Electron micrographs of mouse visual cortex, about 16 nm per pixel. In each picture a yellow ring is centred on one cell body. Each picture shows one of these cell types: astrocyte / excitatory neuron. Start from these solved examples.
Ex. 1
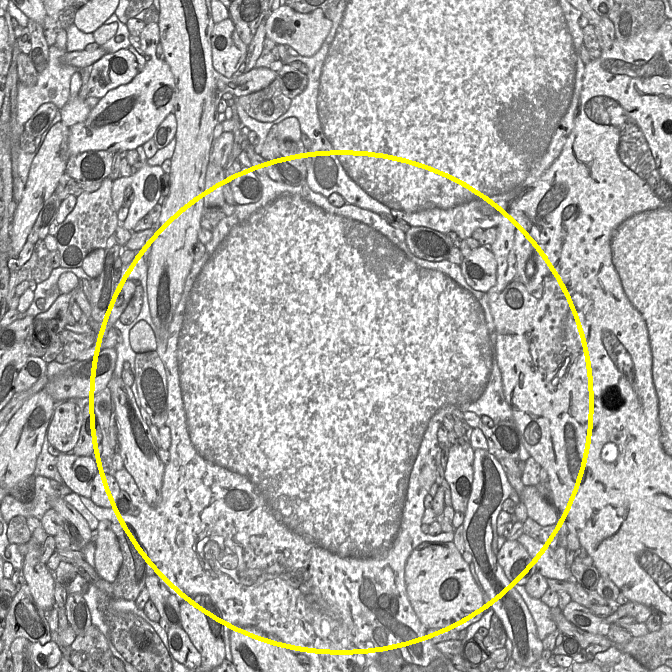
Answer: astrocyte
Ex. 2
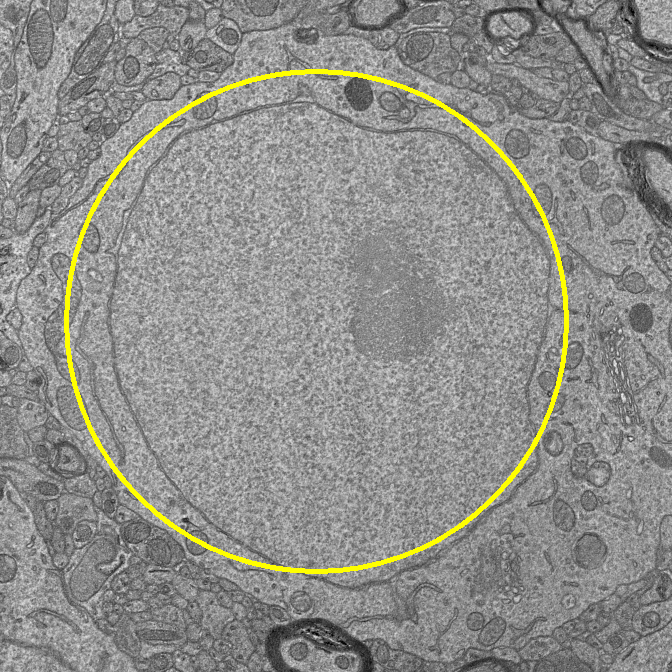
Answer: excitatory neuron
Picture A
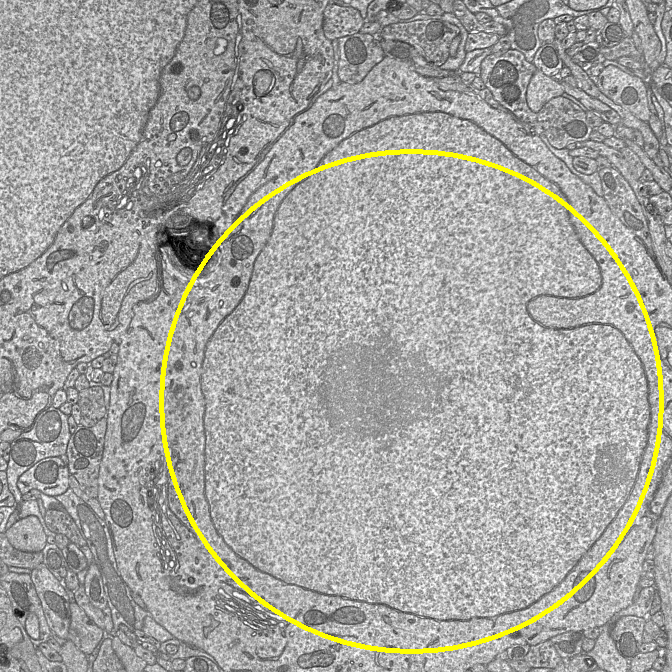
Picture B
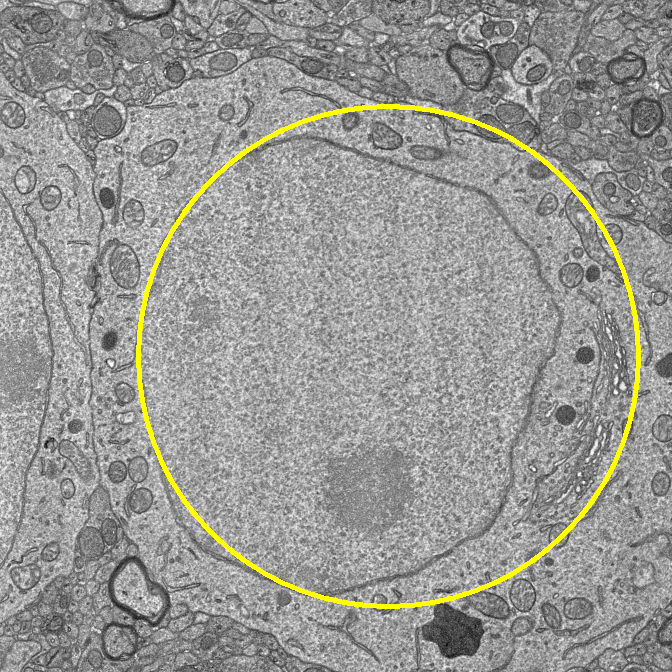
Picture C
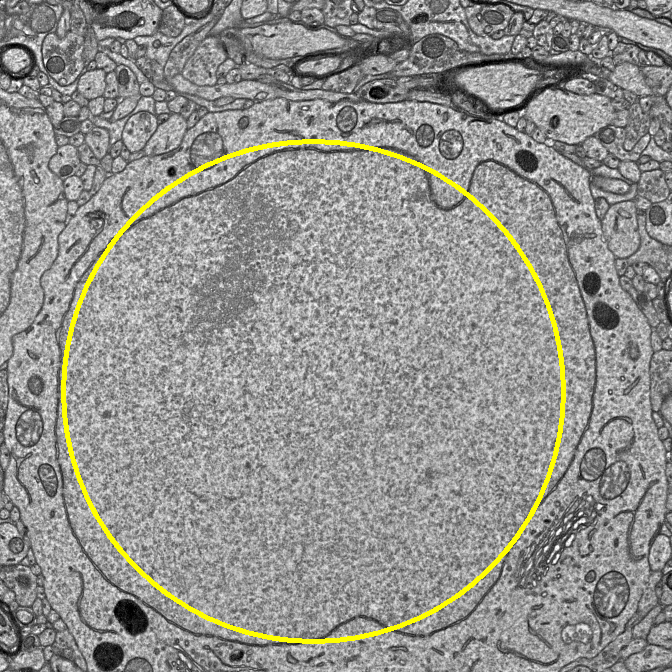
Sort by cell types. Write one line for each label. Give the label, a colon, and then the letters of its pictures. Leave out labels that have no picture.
excitatory neuron: A, B, C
